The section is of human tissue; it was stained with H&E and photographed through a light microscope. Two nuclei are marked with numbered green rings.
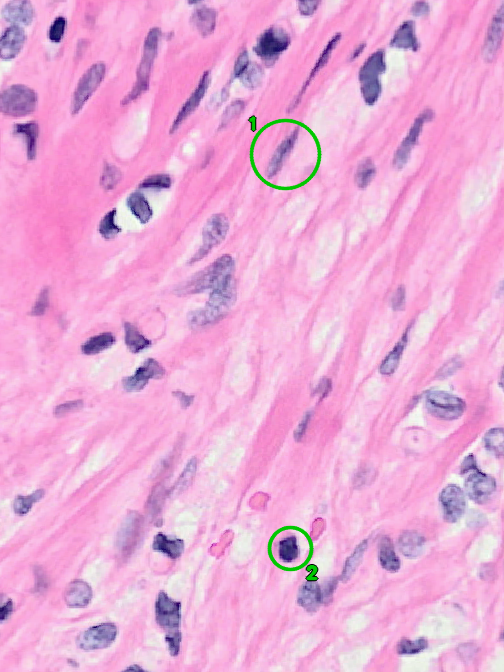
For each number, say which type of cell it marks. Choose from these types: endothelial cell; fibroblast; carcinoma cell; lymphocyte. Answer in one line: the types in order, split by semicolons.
fibroblast; lymphocyte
